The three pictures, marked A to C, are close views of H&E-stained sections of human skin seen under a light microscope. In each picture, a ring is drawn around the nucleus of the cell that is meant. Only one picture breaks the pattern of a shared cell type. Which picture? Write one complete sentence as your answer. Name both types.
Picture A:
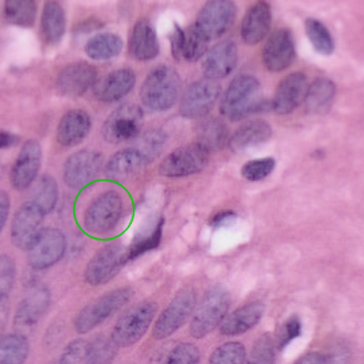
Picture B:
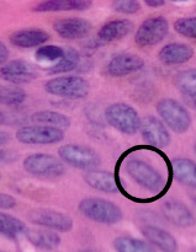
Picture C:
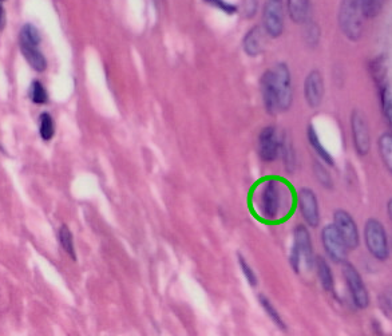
Picture B differs, because its cell is a suprabasal keratinocyte and the rest are basal keratinocytes.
